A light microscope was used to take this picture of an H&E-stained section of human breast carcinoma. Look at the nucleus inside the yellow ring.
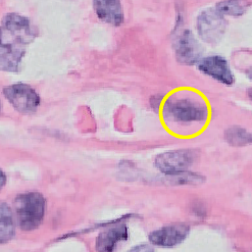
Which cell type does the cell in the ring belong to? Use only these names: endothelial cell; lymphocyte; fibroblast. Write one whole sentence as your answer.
The cell meant here is an endothelial cell.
